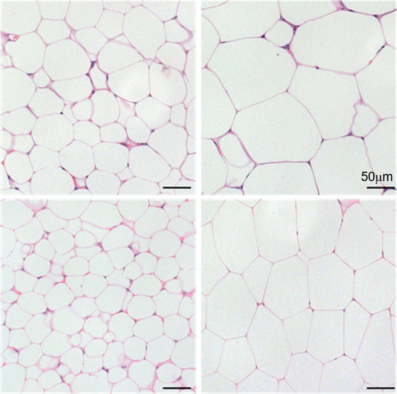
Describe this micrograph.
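This is adipose tissue made of closely packed adipocytes, seen as large, pale, empty-looking polygonal spaces where the fat has been removed during processing. Each adipocyte is outlined by only a thin pink rim of cytoplasm and membrane, and a few dark purple, flattened nuclei sit at the cell edges or where cells meet. The adipocytes in the two right-hand images are much larger than those in the two left-hand images. Within each column, the lower image shows somewhat smaller cells than the upper one.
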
